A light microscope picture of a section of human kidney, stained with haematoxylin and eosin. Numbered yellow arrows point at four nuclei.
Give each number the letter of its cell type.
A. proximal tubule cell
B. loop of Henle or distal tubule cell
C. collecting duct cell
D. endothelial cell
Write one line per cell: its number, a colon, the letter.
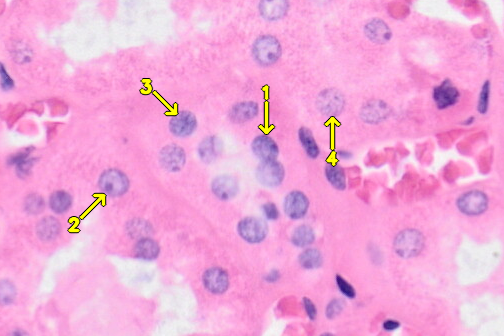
1: B
2: A
3: B
4: A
